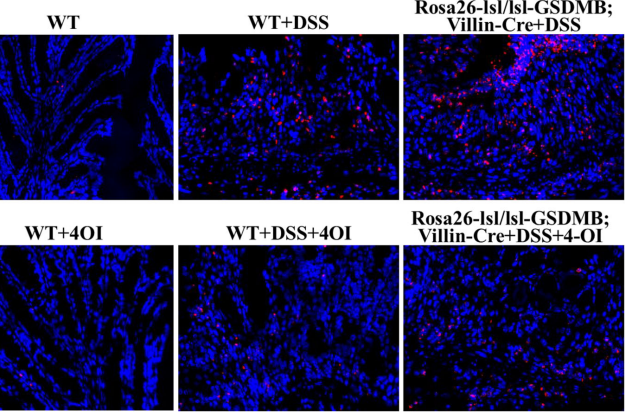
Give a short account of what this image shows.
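Six fluorescence images of colonic mucosa in which blue-stained nuclei outline the glands and the tissue between them. Small bright red dots lie scattered among the nuclei, mostly in the tissue between the glands; they are nearly absent from some images, numerous in others, and crowded into a dense cluster near the surface in one.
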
